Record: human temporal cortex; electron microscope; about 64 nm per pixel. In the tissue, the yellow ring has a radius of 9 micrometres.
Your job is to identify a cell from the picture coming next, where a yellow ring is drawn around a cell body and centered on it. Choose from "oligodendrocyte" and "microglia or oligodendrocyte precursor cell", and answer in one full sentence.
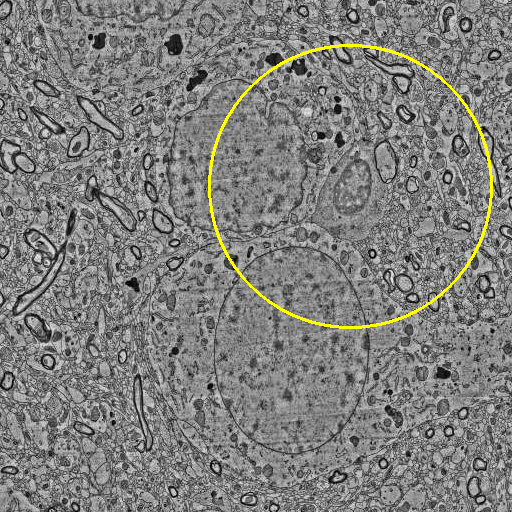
Centered in the yellow ring of the picture is the body of an oligodendrocyte.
